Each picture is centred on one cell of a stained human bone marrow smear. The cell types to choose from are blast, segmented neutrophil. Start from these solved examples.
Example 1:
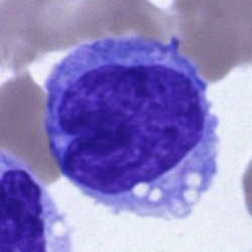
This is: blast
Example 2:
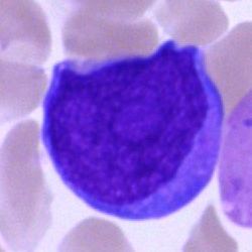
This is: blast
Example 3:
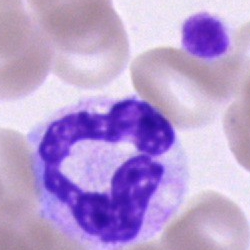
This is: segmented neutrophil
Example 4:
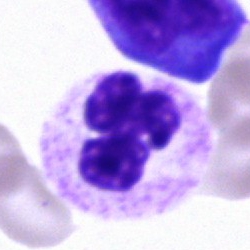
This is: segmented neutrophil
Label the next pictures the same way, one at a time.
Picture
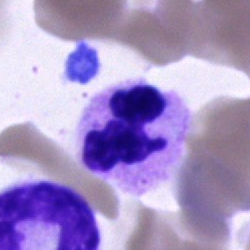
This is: segmented neutrophil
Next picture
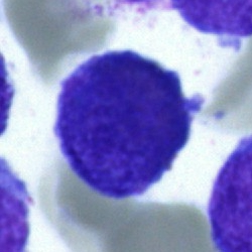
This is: blast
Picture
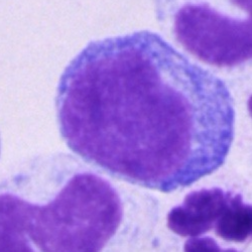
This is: blast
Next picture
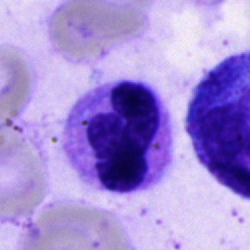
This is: segmented neutrophil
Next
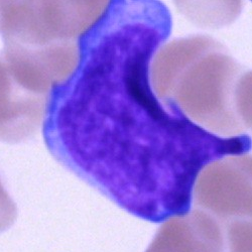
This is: blast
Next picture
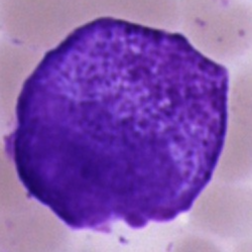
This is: blast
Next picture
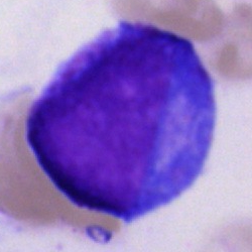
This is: blast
